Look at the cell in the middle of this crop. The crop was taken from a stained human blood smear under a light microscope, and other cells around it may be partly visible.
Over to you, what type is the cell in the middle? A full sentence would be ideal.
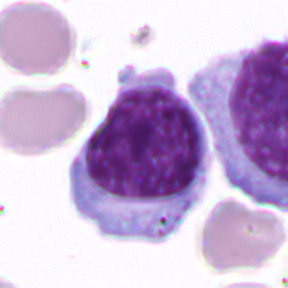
Whatever else lies nearby, the middle cell is a plasma cell.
